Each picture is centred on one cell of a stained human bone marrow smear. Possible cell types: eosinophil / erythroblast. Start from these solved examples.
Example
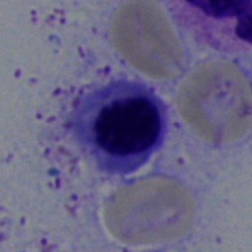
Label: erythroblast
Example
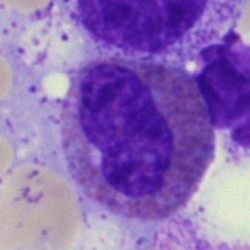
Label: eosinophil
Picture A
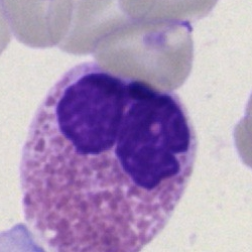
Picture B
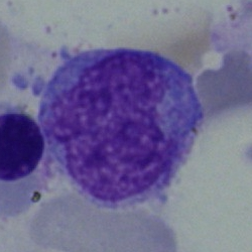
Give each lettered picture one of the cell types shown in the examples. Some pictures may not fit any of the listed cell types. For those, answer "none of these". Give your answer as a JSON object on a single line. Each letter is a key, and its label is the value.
{"A": "eosinophil", "B": "none of these"}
